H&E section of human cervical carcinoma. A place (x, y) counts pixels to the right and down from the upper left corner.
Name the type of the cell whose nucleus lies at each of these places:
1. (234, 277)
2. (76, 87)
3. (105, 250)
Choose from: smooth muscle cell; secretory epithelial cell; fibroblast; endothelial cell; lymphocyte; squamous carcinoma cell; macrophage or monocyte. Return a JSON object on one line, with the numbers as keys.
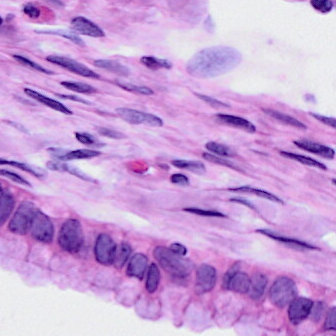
{"1": "secretory epithelial cell", "2": "fibroblast", "3": "secretory epithelial cell"}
